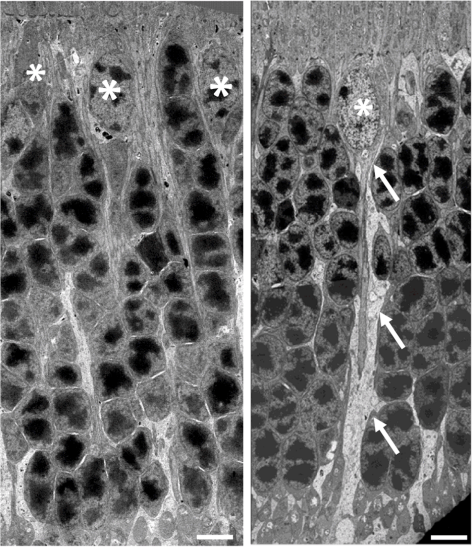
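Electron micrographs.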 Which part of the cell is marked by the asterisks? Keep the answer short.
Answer: Cone nuclei.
